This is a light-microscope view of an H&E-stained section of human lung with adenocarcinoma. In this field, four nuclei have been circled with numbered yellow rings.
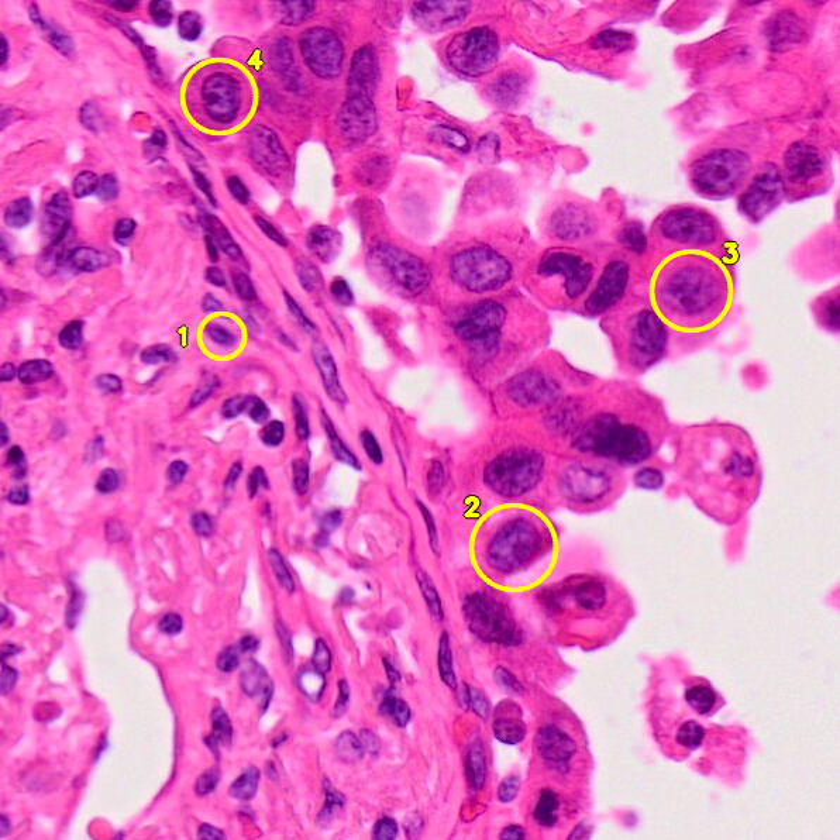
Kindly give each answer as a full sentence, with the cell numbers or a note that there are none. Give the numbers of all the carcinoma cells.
The cells bearing the numbers 2, 3 and 4 are carcinoma cells.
